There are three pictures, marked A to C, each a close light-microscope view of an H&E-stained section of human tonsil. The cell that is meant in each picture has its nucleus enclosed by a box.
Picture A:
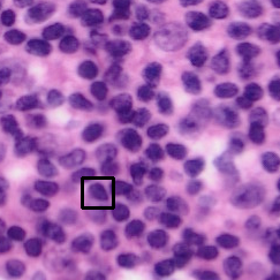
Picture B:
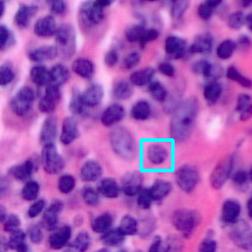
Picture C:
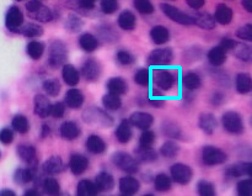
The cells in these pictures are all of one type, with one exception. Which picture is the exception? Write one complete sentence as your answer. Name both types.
Unlike the rest, which show small lymphocytes, picture B shows an endothelial cell.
